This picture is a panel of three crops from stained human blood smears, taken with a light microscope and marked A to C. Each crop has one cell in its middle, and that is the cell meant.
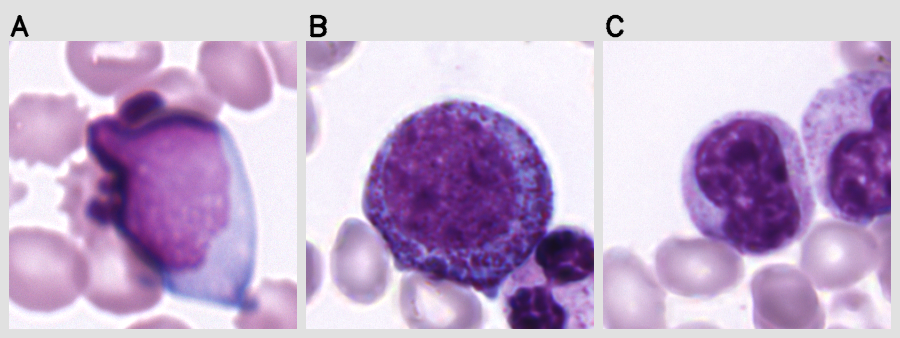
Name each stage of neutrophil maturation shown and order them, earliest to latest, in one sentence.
Least mature first and most mature last, the order is crop A (a myeloblast), crop B (a promyelocyte) and crop C (a metamyelocyte).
